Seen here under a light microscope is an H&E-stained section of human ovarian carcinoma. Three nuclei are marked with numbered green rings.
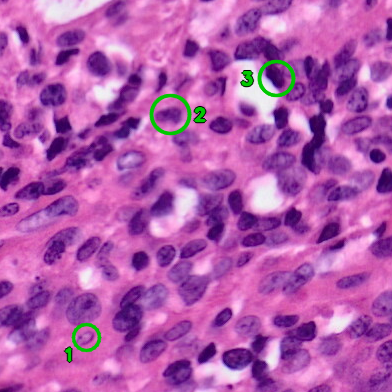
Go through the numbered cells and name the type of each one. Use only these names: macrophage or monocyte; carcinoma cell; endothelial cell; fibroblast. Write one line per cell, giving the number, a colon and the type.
1: endothelial cell
2: macrophage or monocyte
3: carcinoma cell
